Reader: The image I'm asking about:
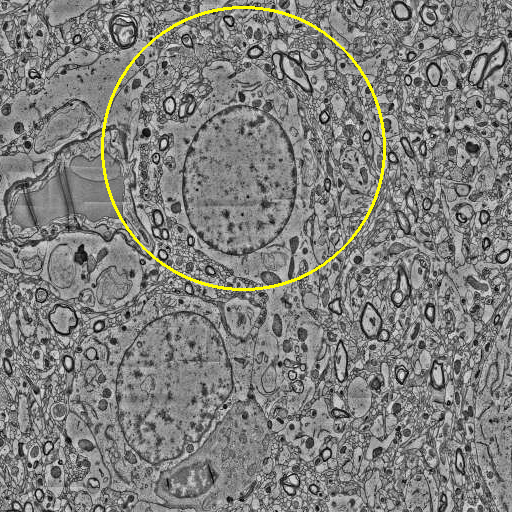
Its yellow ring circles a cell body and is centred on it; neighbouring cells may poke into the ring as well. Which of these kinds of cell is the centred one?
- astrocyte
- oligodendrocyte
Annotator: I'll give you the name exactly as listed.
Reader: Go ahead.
astrocyte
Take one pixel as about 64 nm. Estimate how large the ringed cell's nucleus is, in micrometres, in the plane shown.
The nucleus is approximately 10 micrometers long by 7 micrometers wide in this plane.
